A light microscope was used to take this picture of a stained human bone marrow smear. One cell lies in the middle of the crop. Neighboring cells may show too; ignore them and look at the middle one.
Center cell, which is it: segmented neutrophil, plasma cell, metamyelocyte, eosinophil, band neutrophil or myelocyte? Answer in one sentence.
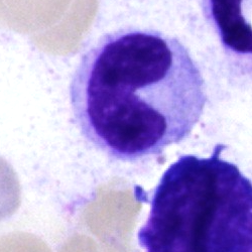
Framed in the middle of the crop is a band neutrophil.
